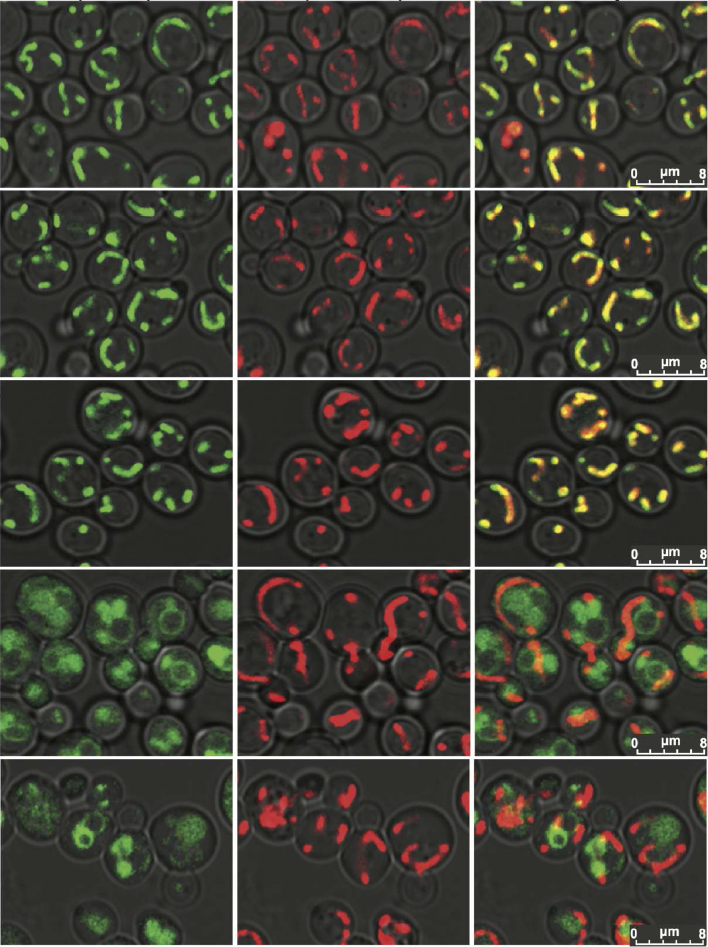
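These are small round to oval yeast cells, some budding, whose boundaries show in grey brightfield. In the upper rows both the green and the red signal lie in curved tubular and dotted structures along the inner edge of the cells, and where the two overlap the overlay shows yellow. In the lower two rows the green signal is spread diffusely through the cell interior and does not follow the red tubular structures.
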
